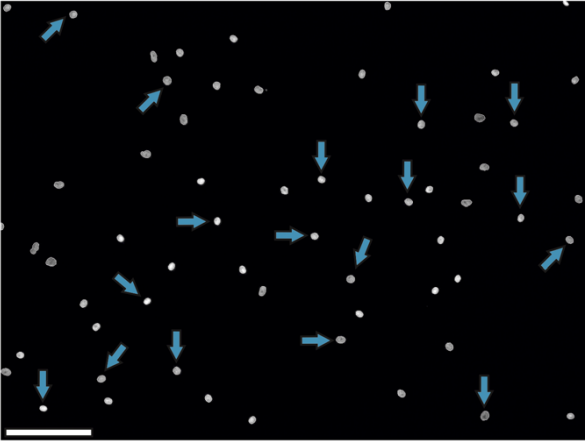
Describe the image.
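Many nuclei here are compact and nearly circular, only a little longer than wide. They lie singly, well apart from one another, with no particular orientation. Some are brighter than others, but their outlines are smooth. The near-circular outlines marked by the arrows are round nuclei.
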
